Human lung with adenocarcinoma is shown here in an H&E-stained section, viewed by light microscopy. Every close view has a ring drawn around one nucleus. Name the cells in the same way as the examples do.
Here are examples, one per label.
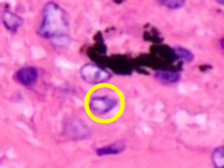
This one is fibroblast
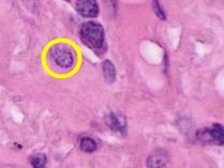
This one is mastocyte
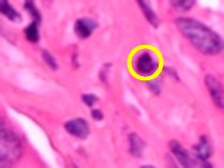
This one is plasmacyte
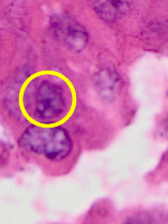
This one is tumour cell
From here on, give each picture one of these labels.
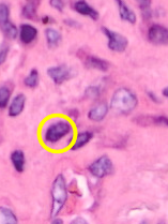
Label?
plasmacyte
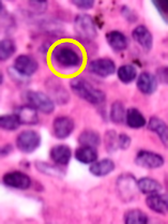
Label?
plasmacyte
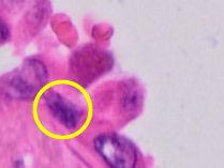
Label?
tumour cell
